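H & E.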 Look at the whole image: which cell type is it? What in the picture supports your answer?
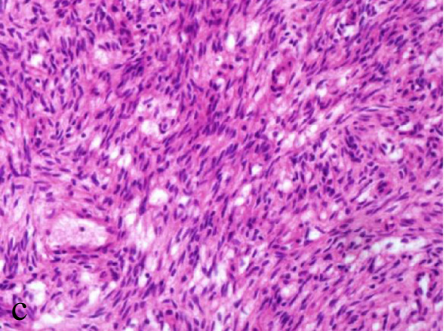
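The field is packed with elongated cells with long, tapered, dark nuclei. Cells run in bundles crossing one another at different angles. Nuclei are fairly uniform without marked enlargement.
Hence: spindle-shaped cells.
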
